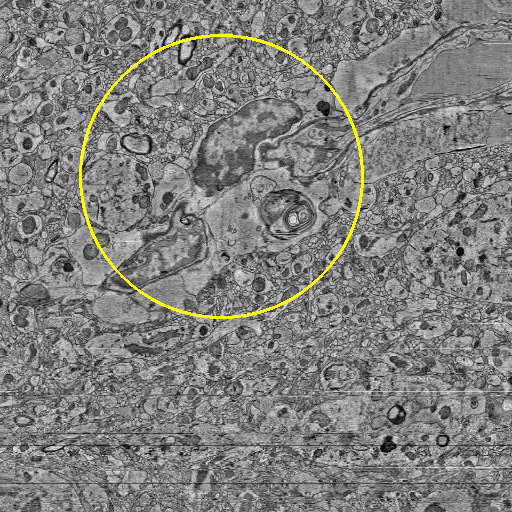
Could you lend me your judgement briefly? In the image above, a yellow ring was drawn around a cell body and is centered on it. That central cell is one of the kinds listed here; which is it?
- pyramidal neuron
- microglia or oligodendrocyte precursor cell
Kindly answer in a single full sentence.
Going by the list, a microglial cell or oligodendrocyte precursor cell is the kind at the ring's center in the picture.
